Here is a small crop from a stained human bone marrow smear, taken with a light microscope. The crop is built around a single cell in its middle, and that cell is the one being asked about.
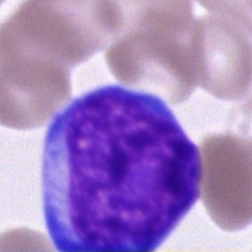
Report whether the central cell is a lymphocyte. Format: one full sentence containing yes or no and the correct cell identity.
No, the central cell is not a lymphocyte; it is a blast instead.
